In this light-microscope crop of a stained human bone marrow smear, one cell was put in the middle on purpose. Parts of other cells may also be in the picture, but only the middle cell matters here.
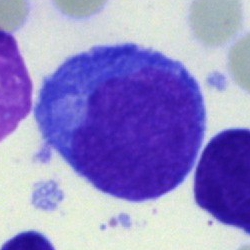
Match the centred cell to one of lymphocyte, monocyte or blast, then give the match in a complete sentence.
Of the cells in this crop, the central one is a blast.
